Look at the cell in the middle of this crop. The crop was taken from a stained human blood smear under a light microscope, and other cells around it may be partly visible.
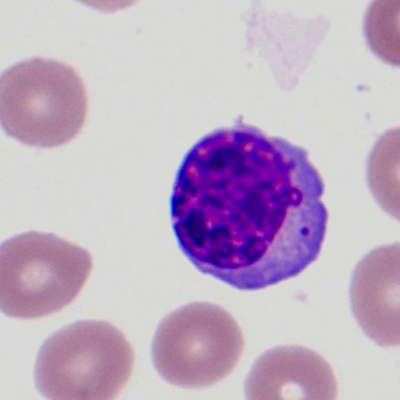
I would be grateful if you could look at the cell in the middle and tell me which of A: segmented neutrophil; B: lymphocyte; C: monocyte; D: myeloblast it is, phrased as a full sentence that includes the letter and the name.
Given that the cell in the middle is a lymphocyte, option B is correct.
